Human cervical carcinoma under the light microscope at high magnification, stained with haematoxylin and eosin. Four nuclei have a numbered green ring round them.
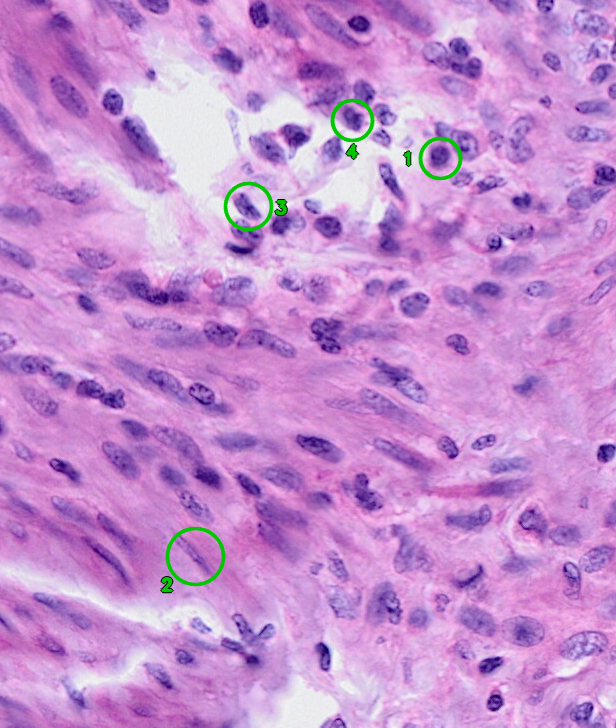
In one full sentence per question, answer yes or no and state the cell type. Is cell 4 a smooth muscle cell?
No, cell 4 should be read as a lymphocyte instead of a smooth muscle cell.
